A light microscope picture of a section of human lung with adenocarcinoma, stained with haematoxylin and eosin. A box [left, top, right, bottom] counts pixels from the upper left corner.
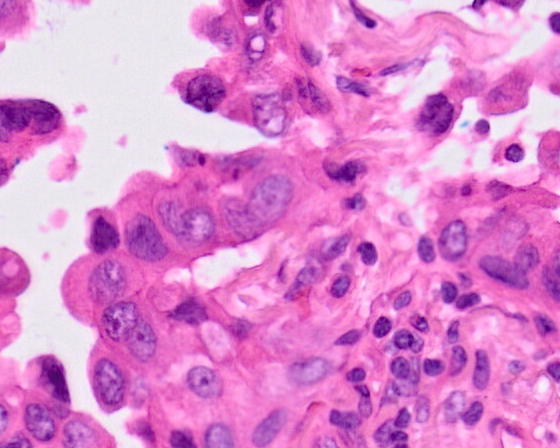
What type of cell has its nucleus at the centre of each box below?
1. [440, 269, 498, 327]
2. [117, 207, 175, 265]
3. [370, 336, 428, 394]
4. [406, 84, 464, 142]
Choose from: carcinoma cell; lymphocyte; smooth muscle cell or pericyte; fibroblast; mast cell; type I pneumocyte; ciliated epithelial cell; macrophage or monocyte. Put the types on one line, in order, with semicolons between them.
lymphocyte; carcinoma cell; lymphocyte; carcinoma cell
